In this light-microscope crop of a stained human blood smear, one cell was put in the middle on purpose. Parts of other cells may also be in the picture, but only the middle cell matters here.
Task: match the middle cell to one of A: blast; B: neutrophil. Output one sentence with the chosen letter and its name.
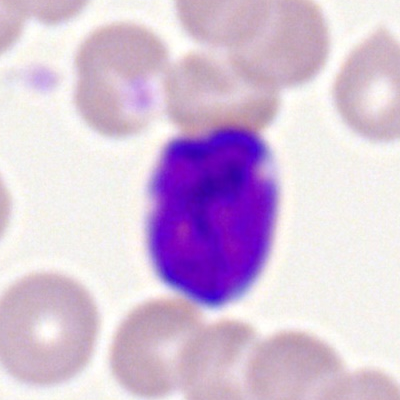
Option A stands as correct, the central cell being a blast.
